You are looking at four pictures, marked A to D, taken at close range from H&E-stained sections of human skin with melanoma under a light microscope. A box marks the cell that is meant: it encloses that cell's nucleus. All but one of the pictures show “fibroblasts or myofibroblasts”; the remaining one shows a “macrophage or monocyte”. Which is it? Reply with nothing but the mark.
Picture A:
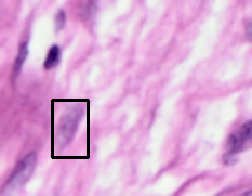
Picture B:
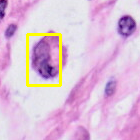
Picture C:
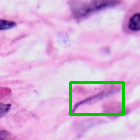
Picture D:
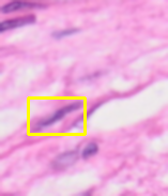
B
